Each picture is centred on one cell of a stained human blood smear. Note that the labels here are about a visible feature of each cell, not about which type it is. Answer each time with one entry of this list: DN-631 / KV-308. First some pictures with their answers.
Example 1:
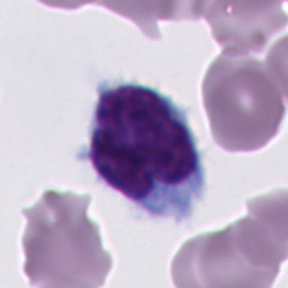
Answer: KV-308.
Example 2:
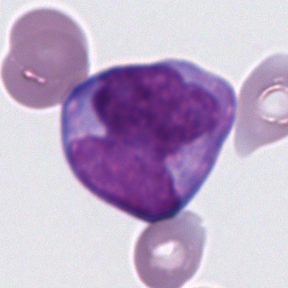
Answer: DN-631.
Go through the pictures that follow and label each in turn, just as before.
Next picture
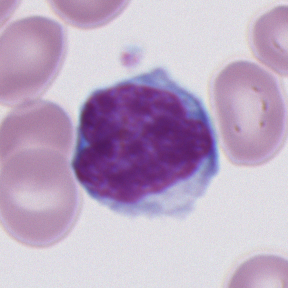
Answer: KV-308.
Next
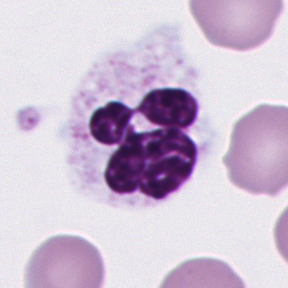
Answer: DN-631.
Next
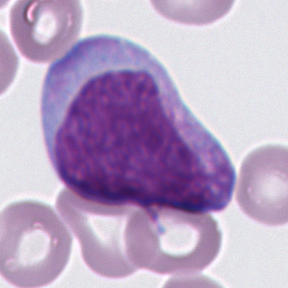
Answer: KV-308.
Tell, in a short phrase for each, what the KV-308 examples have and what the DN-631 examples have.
KV-308, single compact nucleus; DN-631, lobed nucleus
